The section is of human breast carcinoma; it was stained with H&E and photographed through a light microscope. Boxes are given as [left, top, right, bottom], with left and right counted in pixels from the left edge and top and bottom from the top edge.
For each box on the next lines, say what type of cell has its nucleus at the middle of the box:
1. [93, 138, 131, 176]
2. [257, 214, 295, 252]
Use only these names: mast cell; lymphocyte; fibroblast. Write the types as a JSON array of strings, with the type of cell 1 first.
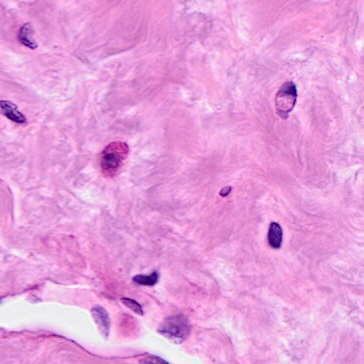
["mast cell", "lymphocyte"]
